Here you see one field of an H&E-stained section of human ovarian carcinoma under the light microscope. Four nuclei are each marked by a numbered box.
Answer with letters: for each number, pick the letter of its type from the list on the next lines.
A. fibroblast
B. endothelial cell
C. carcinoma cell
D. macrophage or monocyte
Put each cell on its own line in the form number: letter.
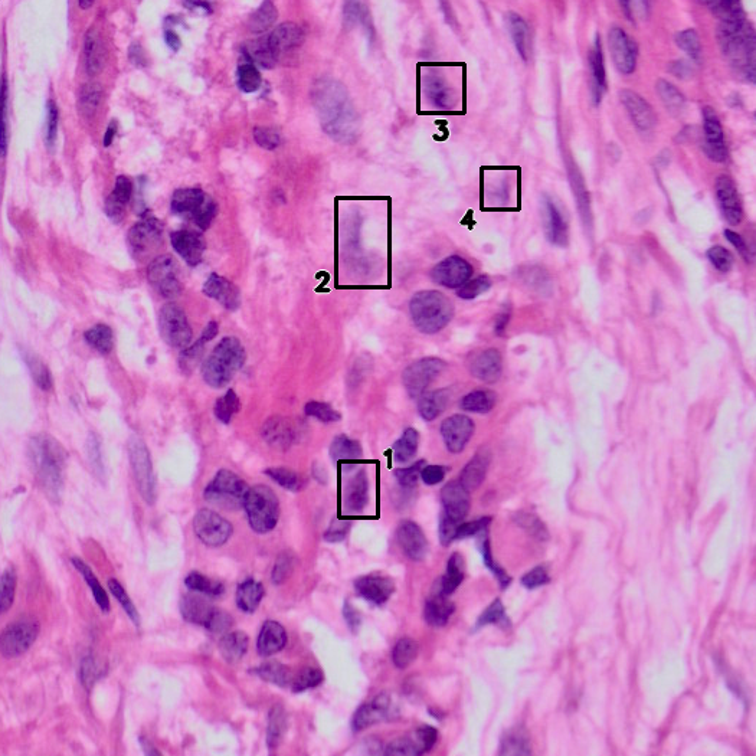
1: C
2: A
3: A
4: A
